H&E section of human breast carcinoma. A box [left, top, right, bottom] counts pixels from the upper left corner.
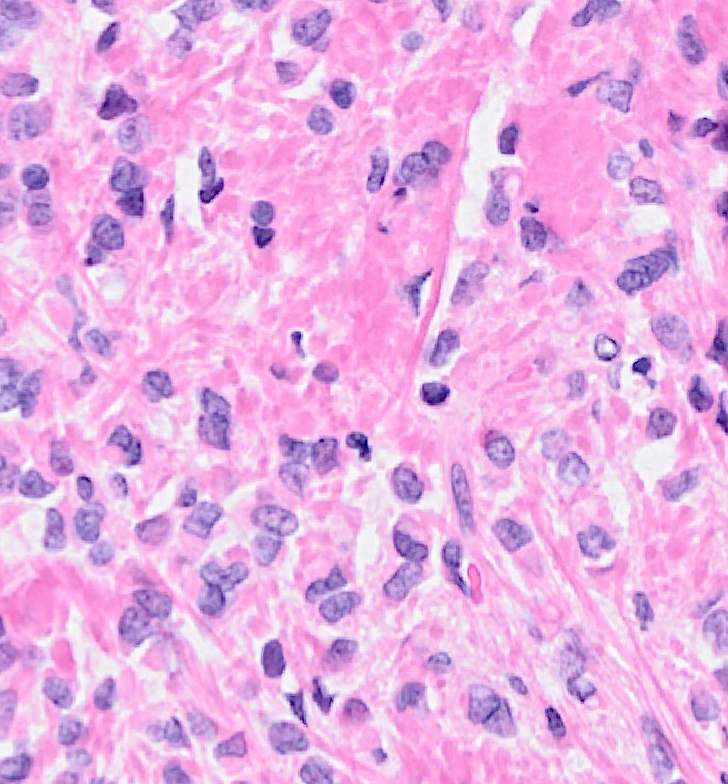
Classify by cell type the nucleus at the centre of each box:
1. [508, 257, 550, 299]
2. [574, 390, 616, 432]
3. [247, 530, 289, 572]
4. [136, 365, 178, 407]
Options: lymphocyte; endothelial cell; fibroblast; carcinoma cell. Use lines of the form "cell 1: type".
cell 1: fibroblast
cell 2: fibroblast
cell 3: carcinoma cell
cell 4: carcinoma cell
